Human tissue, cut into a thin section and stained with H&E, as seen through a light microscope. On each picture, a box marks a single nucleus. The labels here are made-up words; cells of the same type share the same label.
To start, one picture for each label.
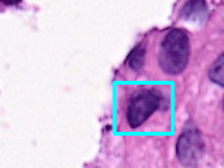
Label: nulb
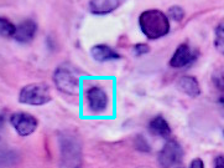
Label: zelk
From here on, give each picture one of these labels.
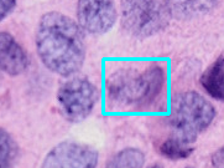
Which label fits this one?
nulb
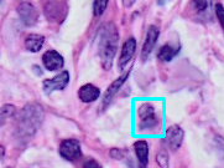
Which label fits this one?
zelk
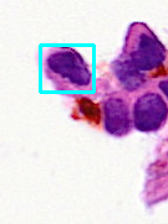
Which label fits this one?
nulb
